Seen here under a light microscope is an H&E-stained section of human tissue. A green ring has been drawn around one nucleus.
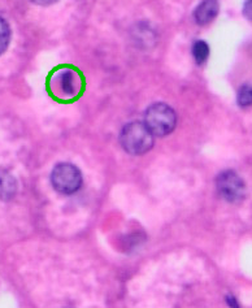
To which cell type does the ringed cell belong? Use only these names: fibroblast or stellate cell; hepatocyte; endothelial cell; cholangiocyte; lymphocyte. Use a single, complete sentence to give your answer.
It is an endothelial cell that the ringed cell represents.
